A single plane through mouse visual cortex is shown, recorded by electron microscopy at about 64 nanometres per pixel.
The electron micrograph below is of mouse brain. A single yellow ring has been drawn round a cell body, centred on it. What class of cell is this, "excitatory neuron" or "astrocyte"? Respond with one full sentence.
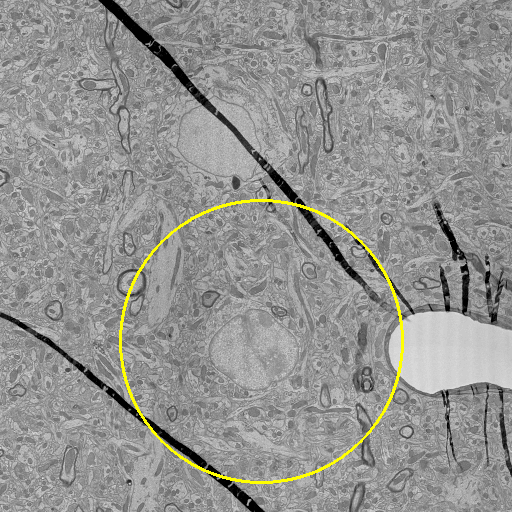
In the micrograph, the cell centred inside the yellow ring is an astrocyte.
